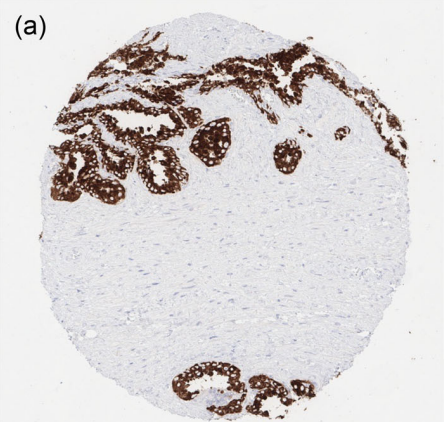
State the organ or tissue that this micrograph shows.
Seminal vesicles.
